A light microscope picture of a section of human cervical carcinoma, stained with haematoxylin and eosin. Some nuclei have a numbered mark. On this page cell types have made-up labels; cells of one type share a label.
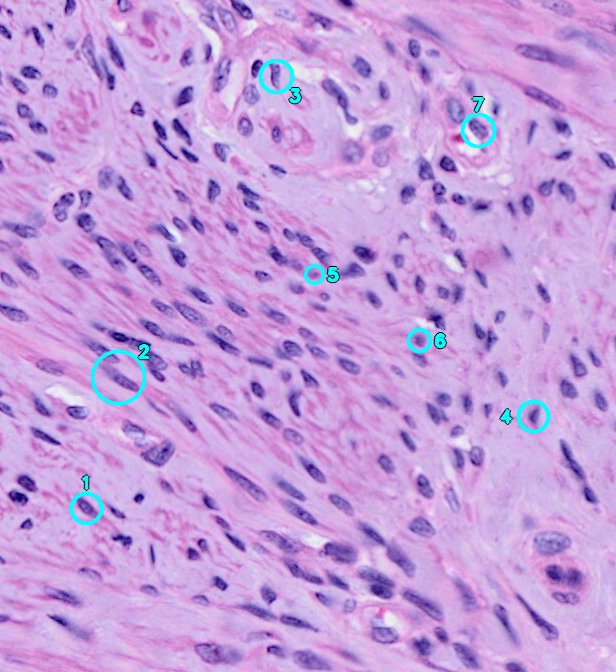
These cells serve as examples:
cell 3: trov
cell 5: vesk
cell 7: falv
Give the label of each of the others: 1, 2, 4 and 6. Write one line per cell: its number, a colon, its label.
1: vesk
2: vesk
4: trov
6: vesk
